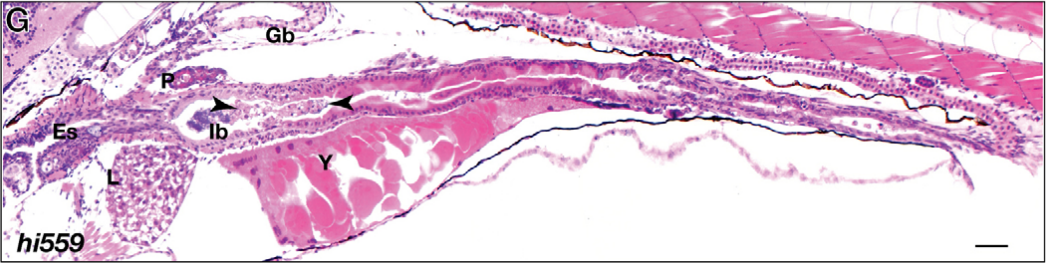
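This lengthwise section of a larva shows an intestine whose lining is much thinner than usual. The epithelium forms a flat layer without folds, so no villi stand into the lumen. The intestinal bulb is small, and its narrow lumen holds clumps of purple-stained cells and debris. Beneath the gut lies a large mass of yolk, seen as bright pink globules. The liver with its packed cells, the pancreas and a small gas bladder lie around the front of the gut.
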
